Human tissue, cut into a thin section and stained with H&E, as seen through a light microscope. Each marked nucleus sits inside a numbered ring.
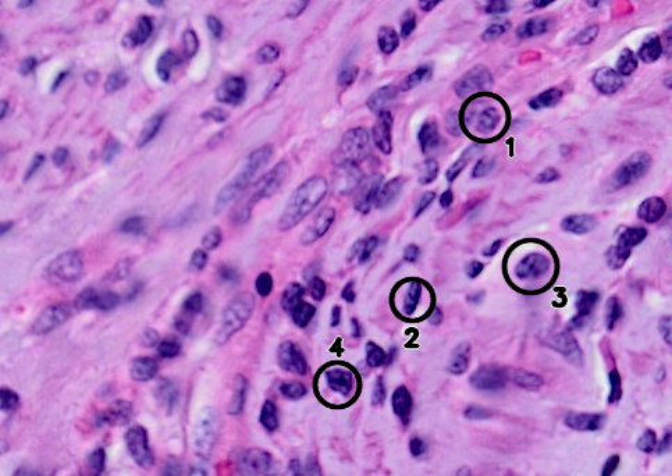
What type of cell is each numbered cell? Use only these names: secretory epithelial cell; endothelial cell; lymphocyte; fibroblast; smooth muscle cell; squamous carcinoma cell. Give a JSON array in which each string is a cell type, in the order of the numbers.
["endothelial cell", "lymphocyte", "lymphocyte", "lymphocyte"]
